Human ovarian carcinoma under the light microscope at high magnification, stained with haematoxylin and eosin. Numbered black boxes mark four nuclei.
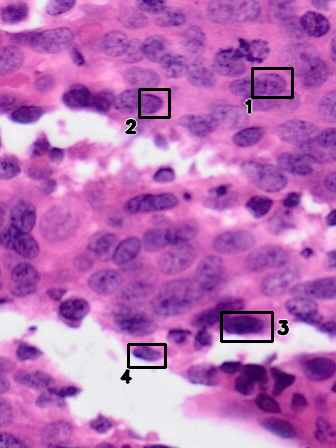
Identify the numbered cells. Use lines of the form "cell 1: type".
cell 1: carcinoma cell
cell 2: carcinoma cell
cell 3: carcinoma cell
cell 4: macrophage or monocyte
